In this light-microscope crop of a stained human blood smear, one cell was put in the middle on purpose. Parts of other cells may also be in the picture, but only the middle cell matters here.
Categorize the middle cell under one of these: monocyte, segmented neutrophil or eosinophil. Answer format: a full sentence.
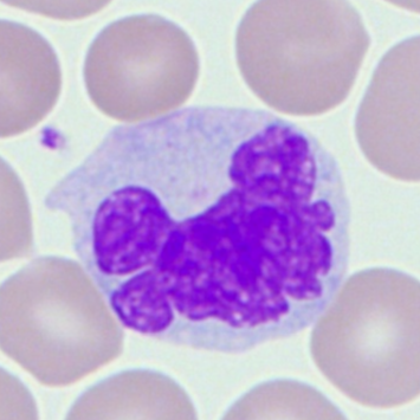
The cell in the exact centre of the crop is a monocyte.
